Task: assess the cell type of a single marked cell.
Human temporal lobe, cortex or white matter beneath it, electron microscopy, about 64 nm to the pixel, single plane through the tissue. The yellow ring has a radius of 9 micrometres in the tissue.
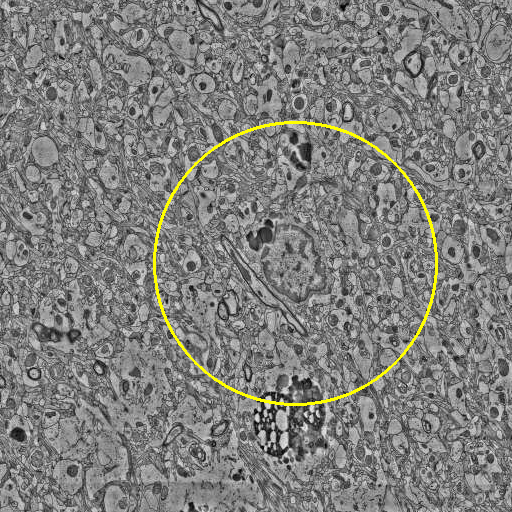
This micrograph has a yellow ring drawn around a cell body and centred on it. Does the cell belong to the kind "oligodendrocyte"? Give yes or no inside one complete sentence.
Yes, the marked cell at the centre of the ring belongs to that kind.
